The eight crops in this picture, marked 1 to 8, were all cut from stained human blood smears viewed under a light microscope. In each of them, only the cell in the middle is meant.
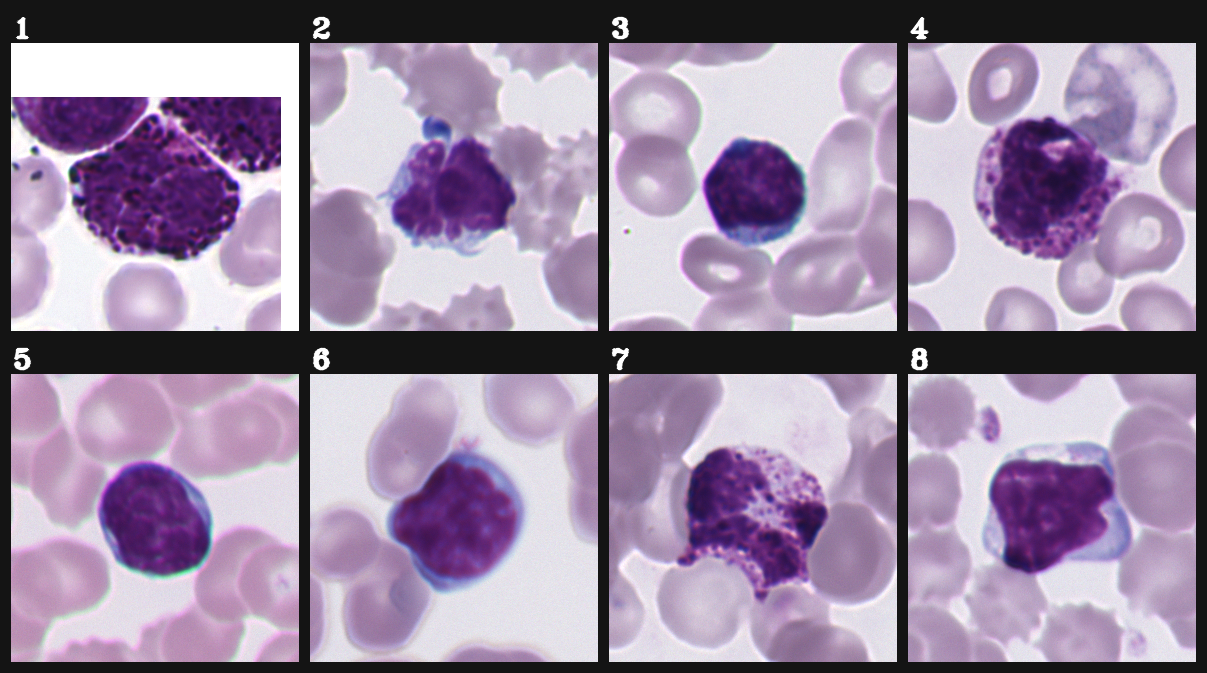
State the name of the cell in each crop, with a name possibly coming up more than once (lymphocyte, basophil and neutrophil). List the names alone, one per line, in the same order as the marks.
basophil
lymphocyte
lymphocyte
basophil
lymphocyte
lymphocyte
basophil
lymphocyte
